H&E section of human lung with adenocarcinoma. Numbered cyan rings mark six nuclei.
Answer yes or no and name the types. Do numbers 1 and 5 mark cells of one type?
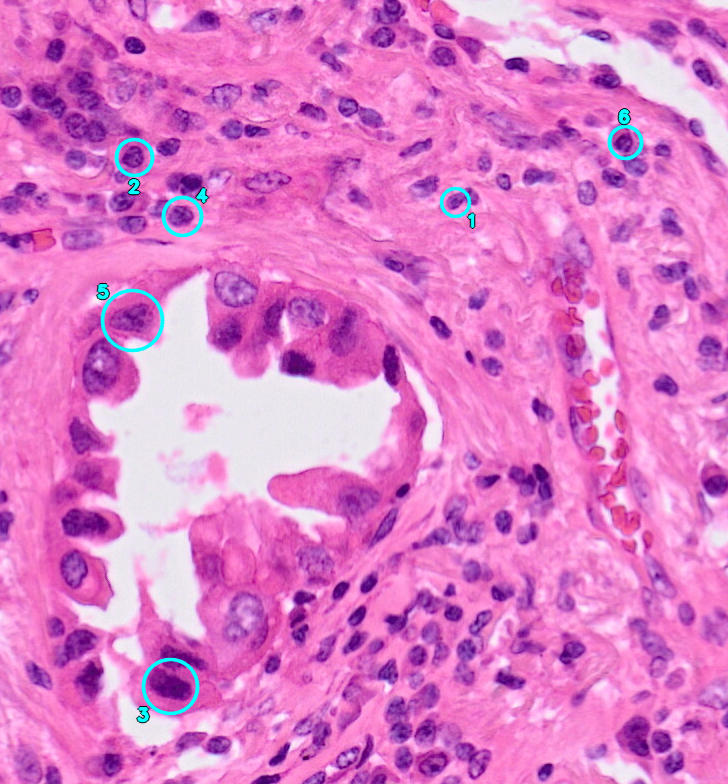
No, cell 1 is a lymphocyte, whereas a carcinoma cell is what cell 5 is.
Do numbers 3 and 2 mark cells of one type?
No, cell 3 here is a carcinoma cell, and cell 2 here is a plasma cell.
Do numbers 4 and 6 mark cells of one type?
No, a plasma cell is what cell 6 is, while cell 4 is a lymphocyte.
